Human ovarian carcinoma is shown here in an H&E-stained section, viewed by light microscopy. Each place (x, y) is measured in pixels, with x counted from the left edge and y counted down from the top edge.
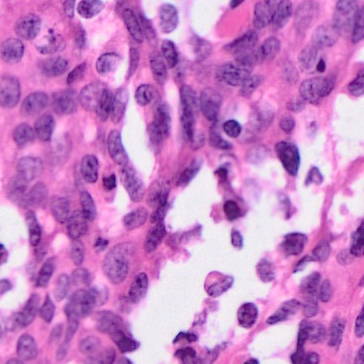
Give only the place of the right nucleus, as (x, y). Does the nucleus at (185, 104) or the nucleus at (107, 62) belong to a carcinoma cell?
(185, 104)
